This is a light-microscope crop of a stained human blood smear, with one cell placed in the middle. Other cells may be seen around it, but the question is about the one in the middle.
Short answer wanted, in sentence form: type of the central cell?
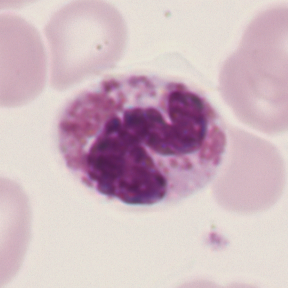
For this crop, the central cell is an eosinophil.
